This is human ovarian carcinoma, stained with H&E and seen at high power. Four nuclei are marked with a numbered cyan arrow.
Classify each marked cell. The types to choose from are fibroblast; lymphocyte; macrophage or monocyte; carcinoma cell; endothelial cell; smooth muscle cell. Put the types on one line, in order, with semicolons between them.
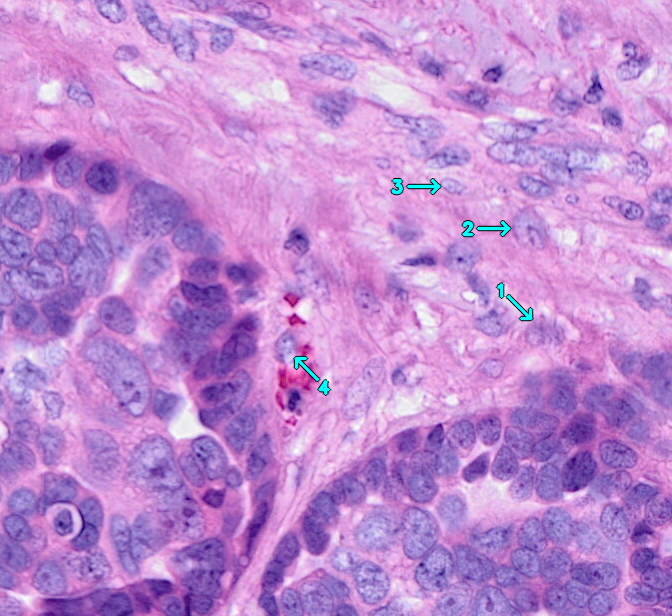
fibroblast; fibroblast; fibroblast; endothelial cell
